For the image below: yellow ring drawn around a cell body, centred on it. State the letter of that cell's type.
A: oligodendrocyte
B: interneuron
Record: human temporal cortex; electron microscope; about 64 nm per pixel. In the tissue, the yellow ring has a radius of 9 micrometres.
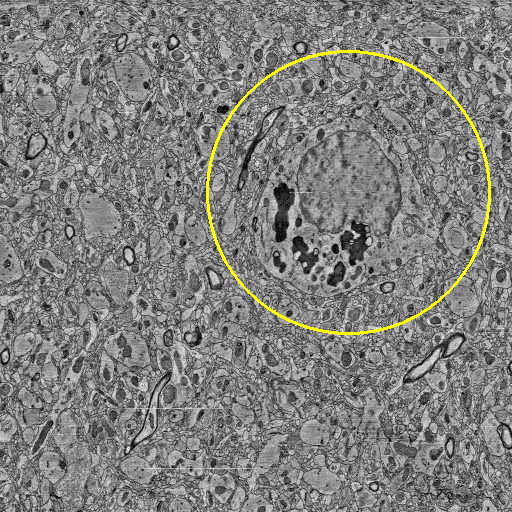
B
